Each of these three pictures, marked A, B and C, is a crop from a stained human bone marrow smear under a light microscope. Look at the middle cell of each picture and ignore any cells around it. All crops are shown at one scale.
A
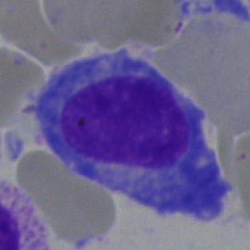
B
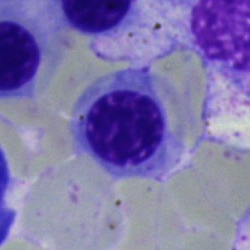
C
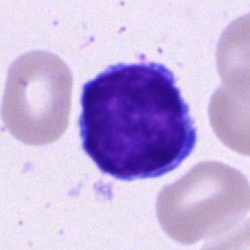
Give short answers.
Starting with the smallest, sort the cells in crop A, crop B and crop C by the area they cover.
B, C, A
